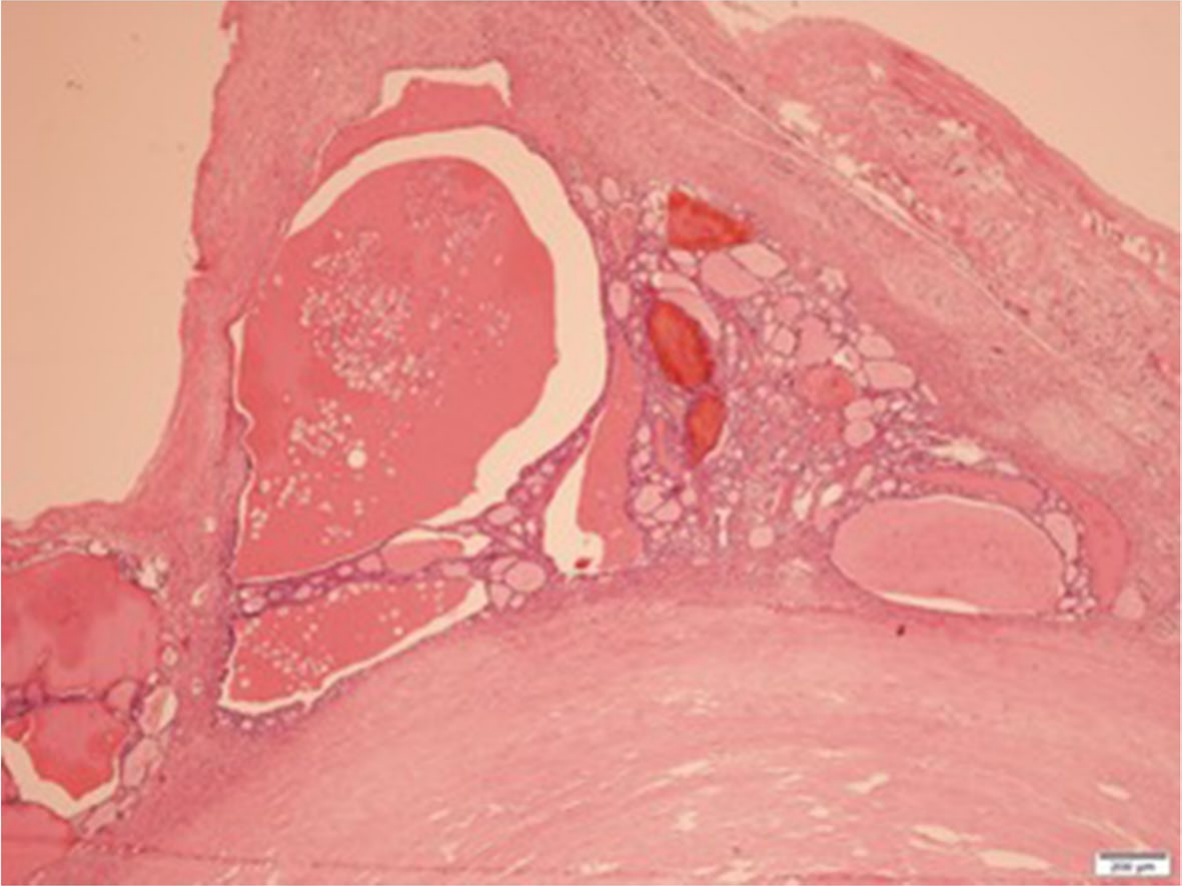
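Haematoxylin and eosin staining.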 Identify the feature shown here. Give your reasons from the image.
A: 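Many rounded spaces of very different sizes, from small to very large. Each space is rimmed by a thin single row of cells. The spaces cluster in a band between pale fibrous tissue. So: Follicles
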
